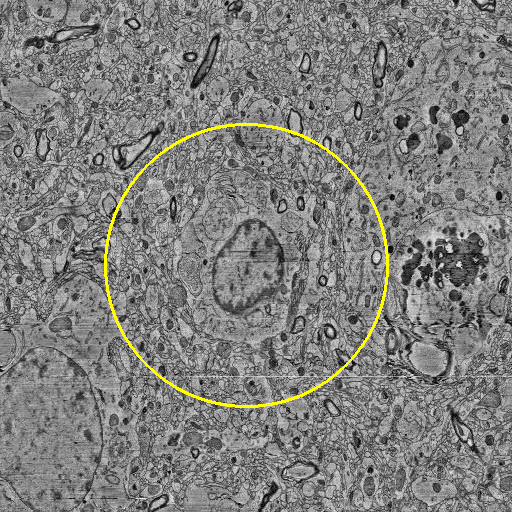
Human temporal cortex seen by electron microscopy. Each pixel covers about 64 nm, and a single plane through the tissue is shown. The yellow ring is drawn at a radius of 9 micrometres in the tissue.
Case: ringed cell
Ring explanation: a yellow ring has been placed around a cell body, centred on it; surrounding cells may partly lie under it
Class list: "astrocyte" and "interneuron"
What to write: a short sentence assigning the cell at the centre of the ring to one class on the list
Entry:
The cell at the ring's centre is an astrocyte.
